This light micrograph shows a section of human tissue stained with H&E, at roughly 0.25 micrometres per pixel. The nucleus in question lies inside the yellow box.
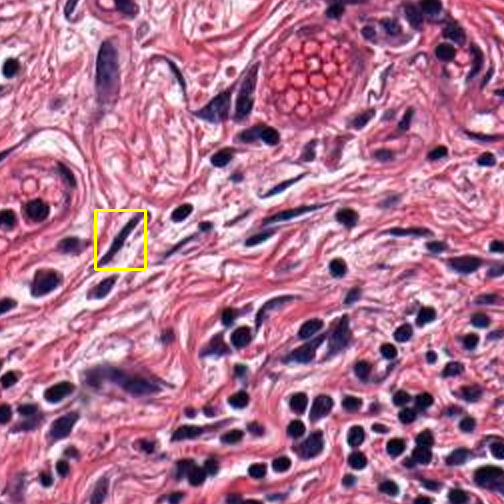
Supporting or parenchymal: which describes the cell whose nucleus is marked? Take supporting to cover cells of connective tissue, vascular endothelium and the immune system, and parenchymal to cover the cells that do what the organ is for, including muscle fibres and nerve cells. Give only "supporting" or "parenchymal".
supporting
